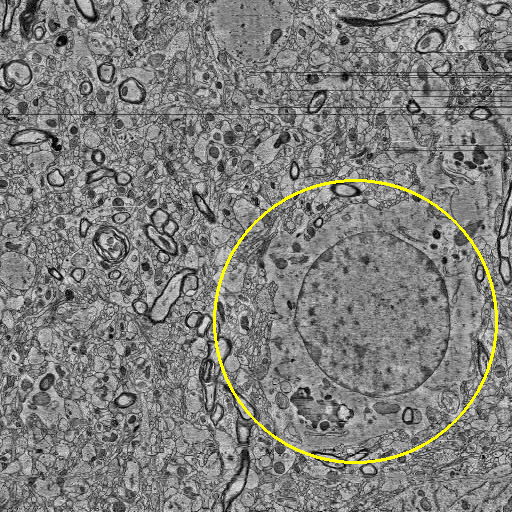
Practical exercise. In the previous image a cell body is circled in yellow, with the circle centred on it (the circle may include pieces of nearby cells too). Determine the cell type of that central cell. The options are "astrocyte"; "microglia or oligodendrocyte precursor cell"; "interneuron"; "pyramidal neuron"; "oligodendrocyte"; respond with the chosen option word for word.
astrocyte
